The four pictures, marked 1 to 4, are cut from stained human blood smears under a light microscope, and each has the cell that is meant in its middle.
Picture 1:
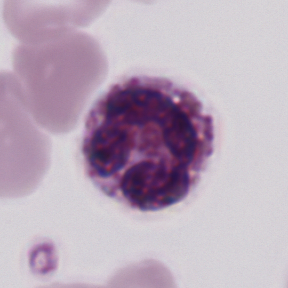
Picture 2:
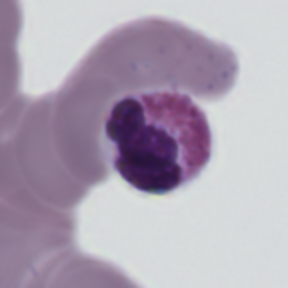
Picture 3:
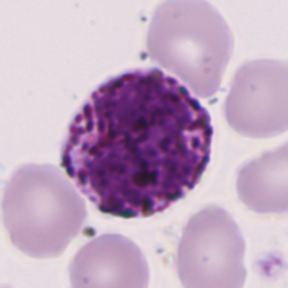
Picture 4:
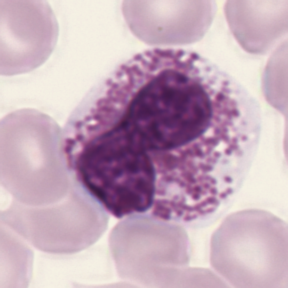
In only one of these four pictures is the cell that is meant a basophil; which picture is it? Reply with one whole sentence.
It is picture 3 that shows the basophil.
